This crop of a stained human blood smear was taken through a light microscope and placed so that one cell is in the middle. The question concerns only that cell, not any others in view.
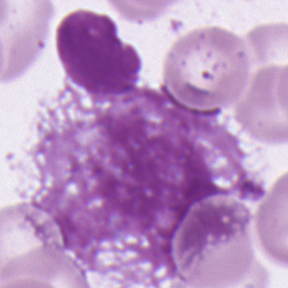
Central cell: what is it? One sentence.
By classification, the middle cell of this crop is a smudge cell.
